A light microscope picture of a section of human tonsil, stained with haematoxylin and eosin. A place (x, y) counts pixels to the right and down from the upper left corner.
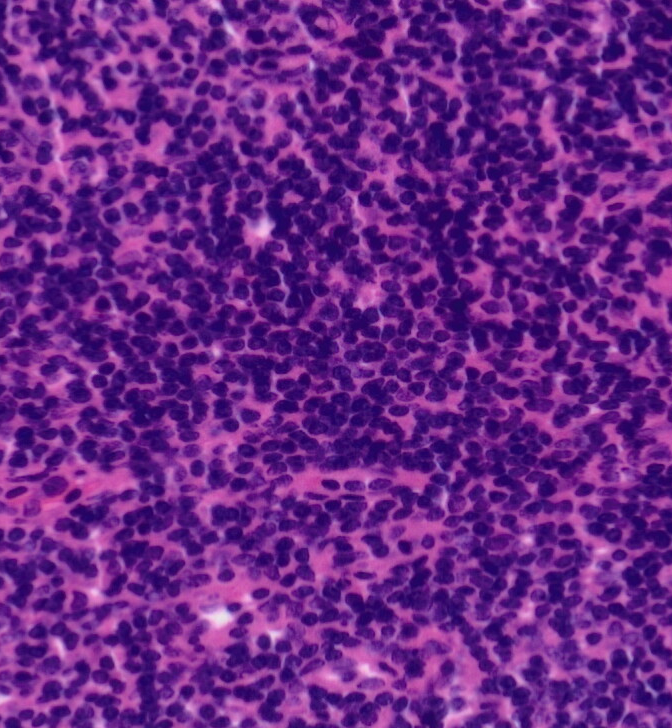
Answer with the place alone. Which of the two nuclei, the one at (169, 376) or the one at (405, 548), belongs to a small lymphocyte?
(169, 376)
